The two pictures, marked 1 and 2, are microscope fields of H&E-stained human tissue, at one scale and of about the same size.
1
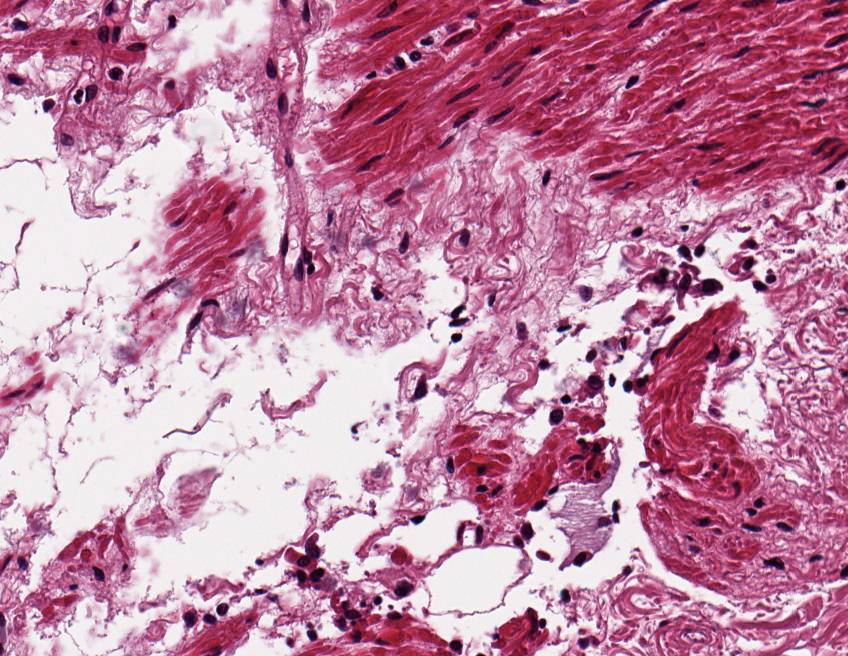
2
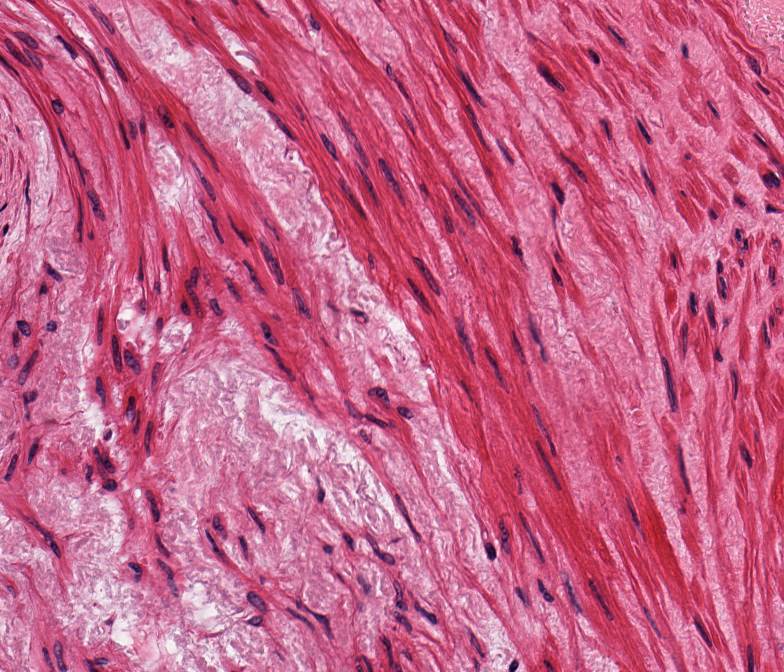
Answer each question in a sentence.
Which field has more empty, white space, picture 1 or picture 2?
Unstained space takes up more of picture 1 than of picture 2.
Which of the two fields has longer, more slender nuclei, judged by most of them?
It is picture 2 whose nuclei are the more elongated.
